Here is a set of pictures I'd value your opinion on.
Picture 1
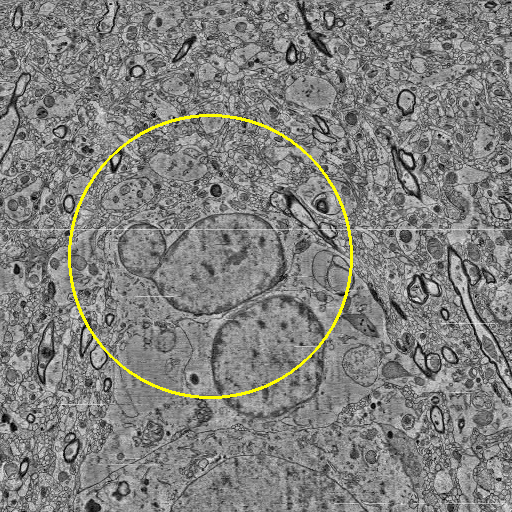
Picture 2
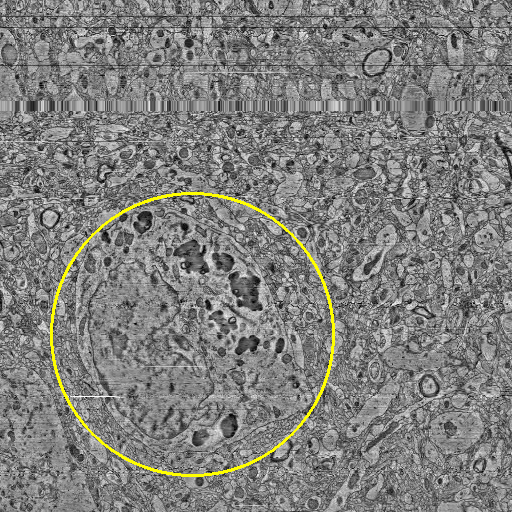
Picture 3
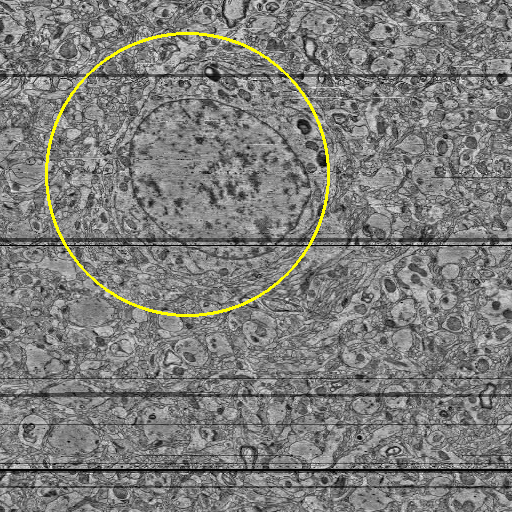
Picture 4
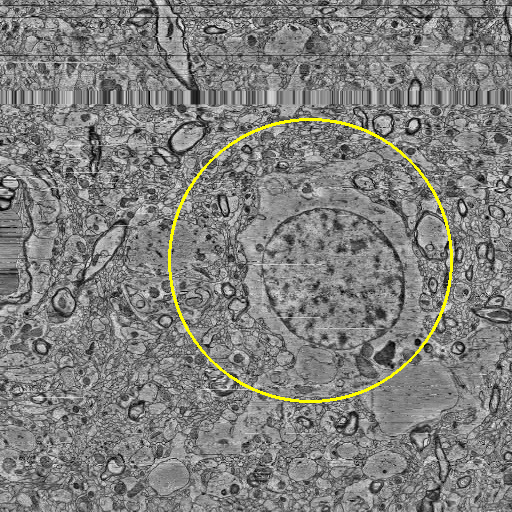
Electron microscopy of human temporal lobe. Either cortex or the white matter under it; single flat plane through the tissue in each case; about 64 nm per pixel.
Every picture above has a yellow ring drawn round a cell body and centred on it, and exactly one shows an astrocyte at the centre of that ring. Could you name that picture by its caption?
Picture 4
